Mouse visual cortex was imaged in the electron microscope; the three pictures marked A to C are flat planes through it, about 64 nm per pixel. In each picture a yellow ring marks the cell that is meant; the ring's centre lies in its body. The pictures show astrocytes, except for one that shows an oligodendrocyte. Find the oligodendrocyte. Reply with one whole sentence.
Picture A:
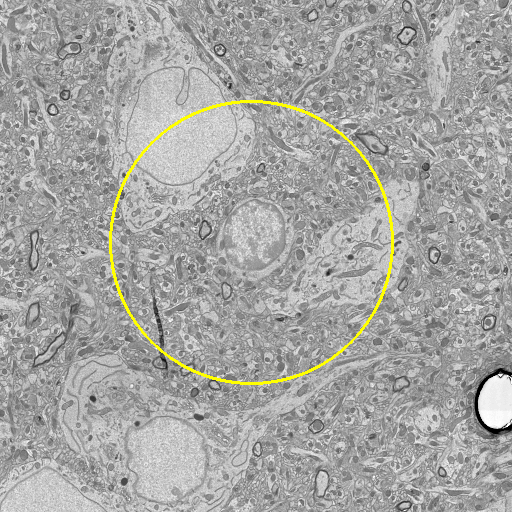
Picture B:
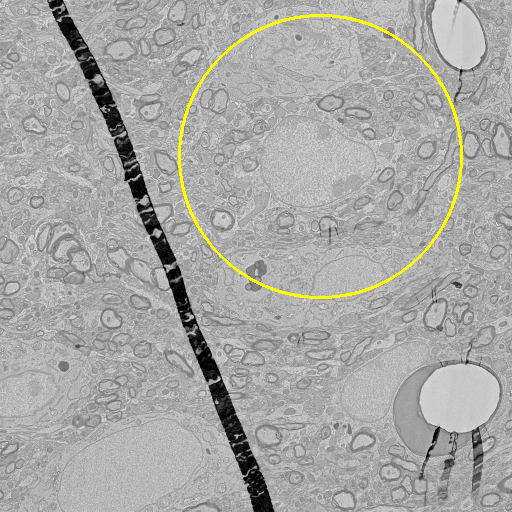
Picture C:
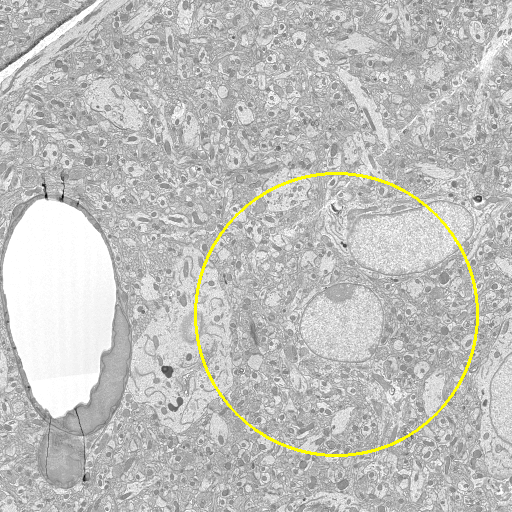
The cell in picture A is the oligodendrocyte.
